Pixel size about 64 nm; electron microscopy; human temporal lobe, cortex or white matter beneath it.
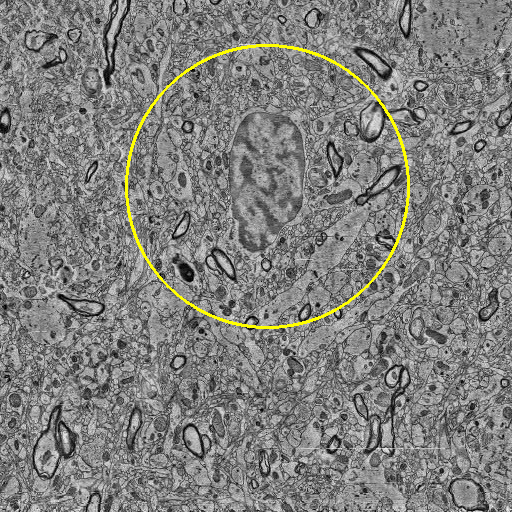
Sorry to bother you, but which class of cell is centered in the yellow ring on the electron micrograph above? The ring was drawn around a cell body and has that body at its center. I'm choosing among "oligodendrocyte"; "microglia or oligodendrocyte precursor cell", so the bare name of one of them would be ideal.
microglia or oligodendrocyte precursor cell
